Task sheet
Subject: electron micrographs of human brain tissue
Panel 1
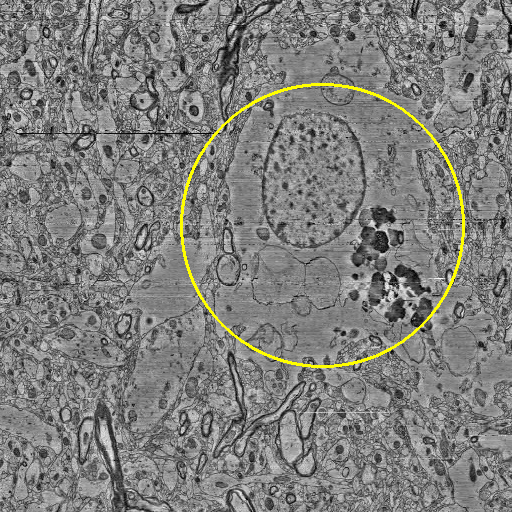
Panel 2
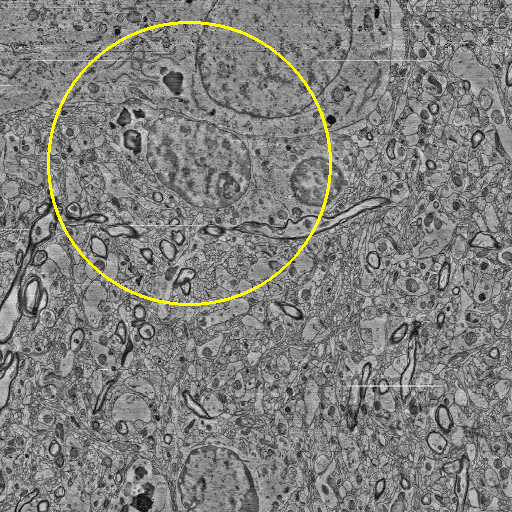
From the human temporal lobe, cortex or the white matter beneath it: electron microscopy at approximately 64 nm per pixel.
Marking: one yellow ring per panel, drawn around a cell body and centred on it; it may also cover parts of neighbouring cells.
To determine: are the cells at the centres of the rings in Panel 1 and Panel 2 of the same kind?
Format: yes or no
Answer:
no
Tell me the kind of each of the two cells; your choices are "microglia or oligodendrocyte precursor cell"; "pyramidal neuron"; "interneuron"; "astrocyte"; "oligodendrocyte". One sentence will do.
The ringed cell is an astrocyte in the first picture and an oligodendrocyte in the second picture.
